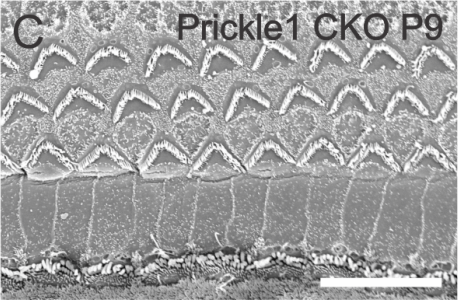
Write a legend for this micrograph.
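Scanning electron view of the sensory surface of the cochlea showing hair cells arranged in regular parallel rows. Each hair cell apex carries a V-shaped bundle of stiff projections, and the vertices of the bundles all point in the same direction, giving a uniform orientation across the rows. Between the bundles lie flatter cell surfaces covered with fine short microvilli. Below the rows runs a smooth band of elongated flat cell surfaces separated by thin boundaries. Along the lower edge a further row of bundles is visible, arranged more linearly and less clearly V-shaped.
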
